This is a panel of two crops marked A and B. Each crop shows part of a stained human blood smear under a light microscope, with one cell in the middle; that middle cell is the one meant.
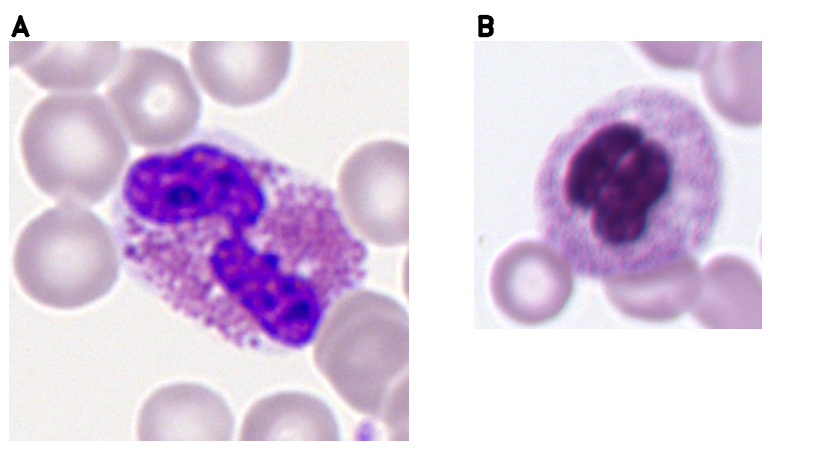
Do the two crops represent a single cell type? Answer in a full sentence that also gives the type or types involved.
No, look again: crop A shows an eosinophil, and crop B shows a segmented neutrophil.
